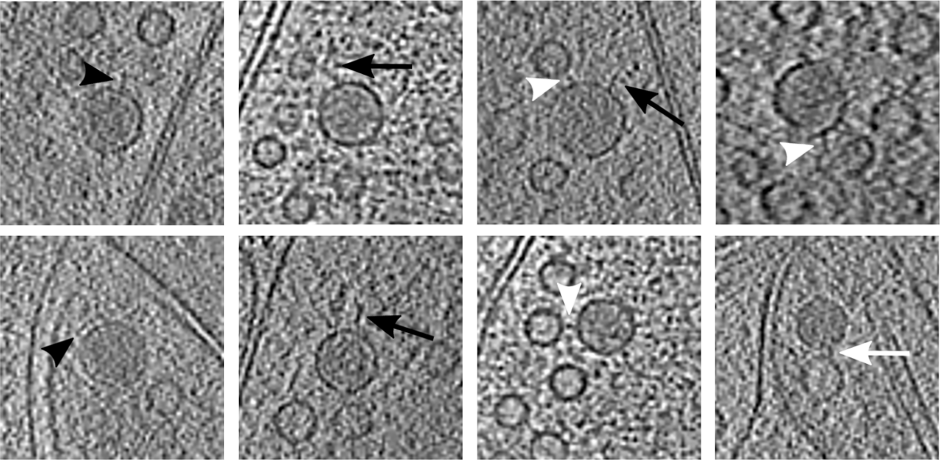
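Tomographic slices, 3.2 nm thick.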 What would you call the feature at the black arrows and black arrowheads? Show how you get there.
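Short densities project outward from the membrane of large vesicles with granular dark contents. So: dense core vesicle protrusions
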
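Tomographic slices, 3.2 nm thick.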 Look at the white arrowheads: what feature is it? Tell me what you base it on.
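Connectors to synaptic vesicles. Thin dense strands link a large granular-cored vesicle to small round vesicles.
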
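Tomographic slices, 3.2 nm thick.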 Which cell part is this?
Dense core vesicle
